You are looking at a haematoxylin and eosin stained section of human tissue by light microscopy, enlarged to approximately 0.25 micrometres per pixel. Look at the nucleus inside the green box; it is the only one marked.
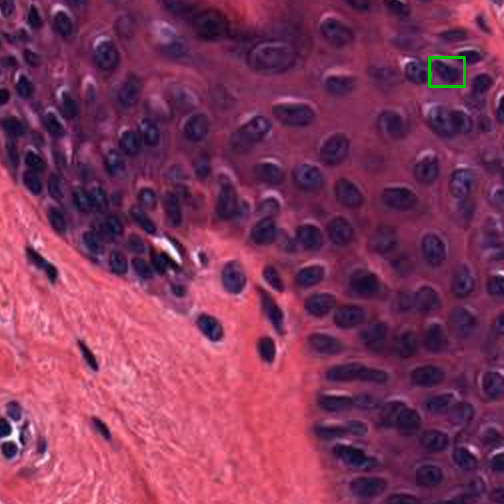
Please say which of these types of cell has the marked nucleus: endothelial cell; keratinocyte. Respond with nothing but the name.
keratinocyte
